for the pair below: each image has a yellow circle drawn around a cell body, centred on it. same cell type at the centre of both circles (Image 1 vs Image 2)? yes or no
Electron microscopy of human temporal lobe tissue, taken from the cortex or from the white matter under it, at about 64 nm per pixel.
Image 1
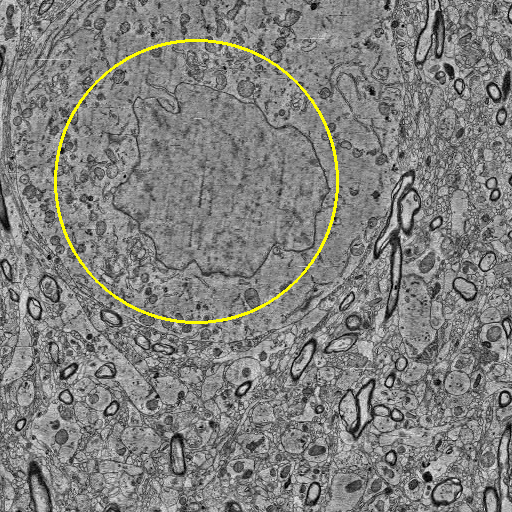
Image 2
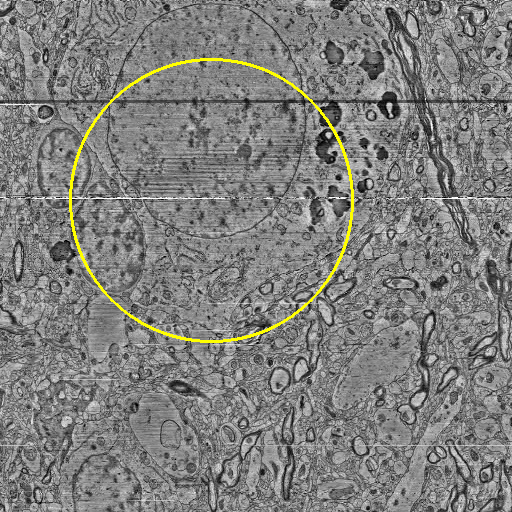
yes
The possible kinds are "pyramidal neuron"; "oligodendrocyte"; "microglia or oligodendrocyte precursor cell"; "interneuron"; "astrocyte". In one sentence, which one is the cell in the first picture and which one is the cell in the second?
The first and the second cell are each a pyramidal neuron.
